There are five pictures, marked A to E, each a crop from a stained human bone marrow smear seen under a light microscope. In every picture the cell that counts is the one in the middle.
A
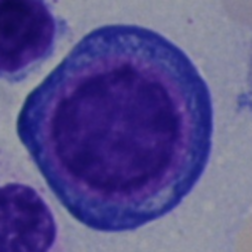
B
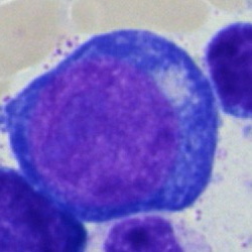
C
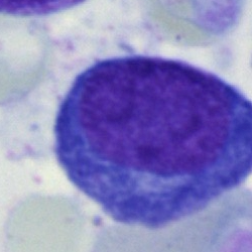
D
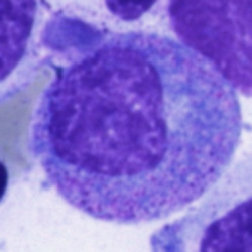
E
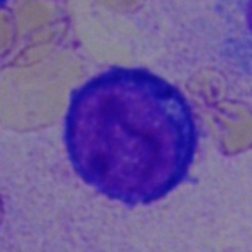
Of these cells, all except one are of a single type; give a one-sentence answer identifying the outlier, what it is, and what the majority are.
Crop D is a promyelocyte, the one exception to the proerythroblasts of the other crops.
